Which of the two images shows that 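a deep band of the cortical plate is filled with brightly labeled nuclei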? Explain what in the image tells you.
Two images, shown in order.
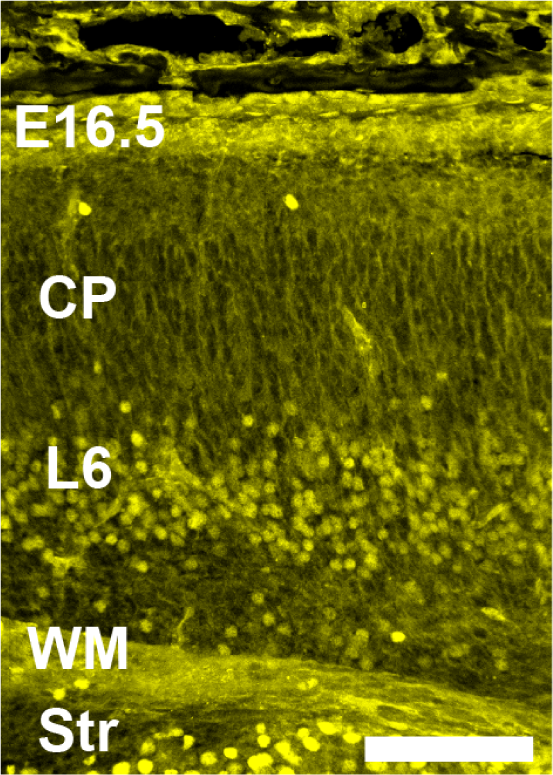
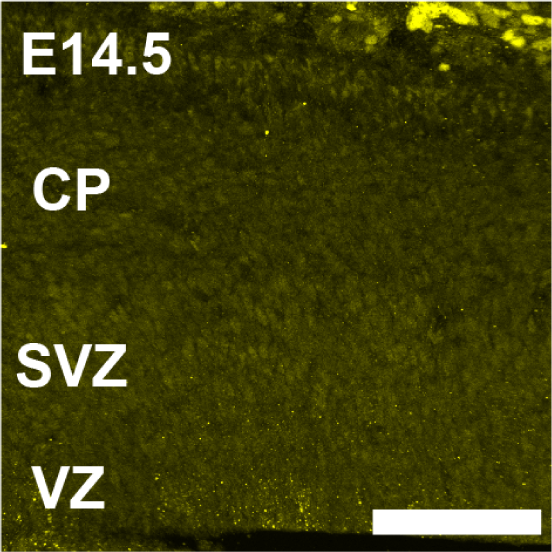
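First image: a thick band of bright yellow round nuclei lies in the lower part of the cortical plate above the white matter. Second image: the cortical wall shows only faint, diffuse yellow with no bright nuclear band. The answer: the first image.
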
